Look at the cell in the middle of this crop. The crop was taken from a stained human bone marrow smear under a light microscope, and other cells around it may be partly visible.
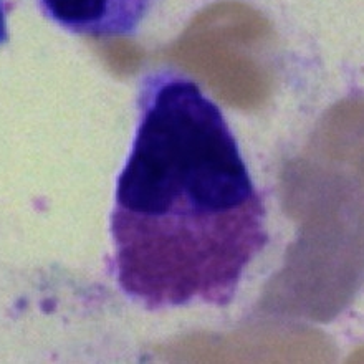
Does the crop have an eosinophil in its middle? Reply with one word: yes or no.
yes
